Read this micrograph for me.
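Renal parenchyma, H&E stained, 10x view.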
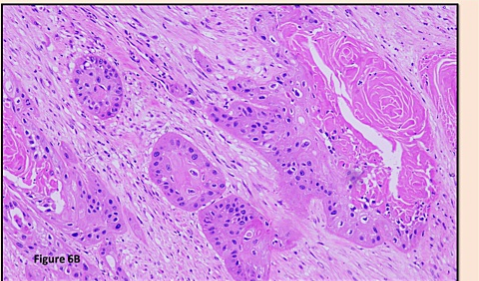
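Rounded and elongated islands of epithelial cells with enlarged, irregular dark nuclei and abundant pink cytoplasm are scattered through a pale fibrous stroma. Within the larger islands the cells become flattened toward the center, where concentric whorls of bright pink lamellated material accumulate. These are nests of squamous tumor cells infiltrating the stroma, and the central whorls are keratin pearls, marking a keratinizing squamous carcinoma.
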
